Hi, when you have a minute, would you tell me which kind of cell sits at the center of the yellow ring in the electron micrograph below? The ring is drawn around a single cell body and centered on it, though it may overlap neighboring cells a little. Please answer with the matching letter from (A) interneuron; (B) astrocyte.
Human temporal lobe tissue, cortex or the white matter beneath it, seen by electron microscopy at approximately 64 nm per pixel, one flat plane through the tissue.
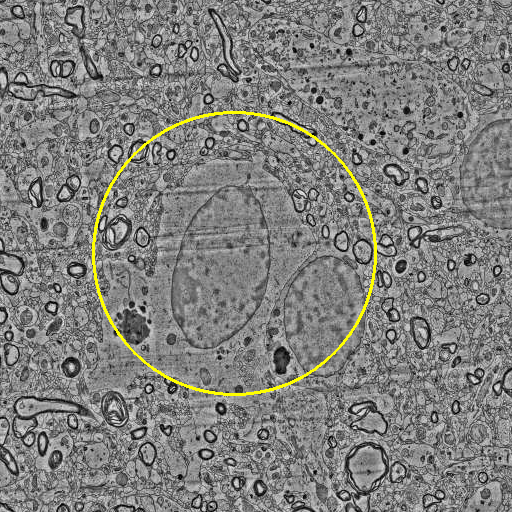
B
